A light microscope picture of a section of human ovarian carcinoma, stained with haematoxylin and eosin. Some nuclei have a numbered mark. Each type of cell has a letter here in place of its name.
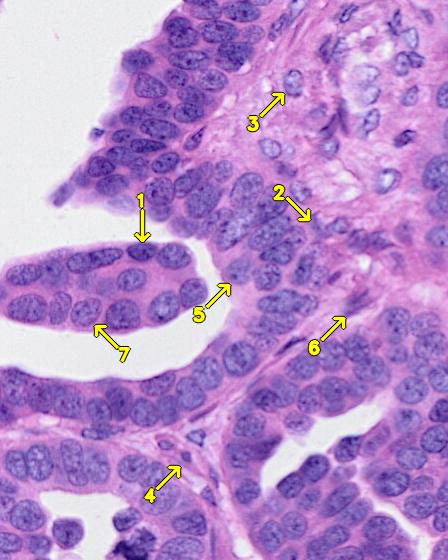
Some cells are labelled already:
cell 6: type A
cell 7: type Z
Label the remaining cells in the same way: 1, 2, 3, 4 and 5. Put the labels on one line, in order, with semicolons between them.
type Z; type A; type A; type A; type Z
